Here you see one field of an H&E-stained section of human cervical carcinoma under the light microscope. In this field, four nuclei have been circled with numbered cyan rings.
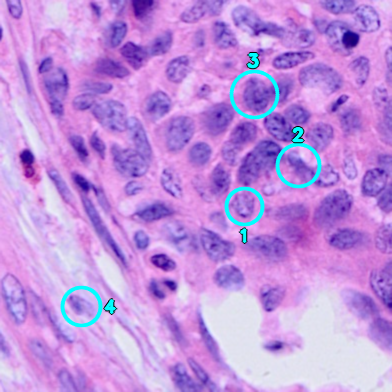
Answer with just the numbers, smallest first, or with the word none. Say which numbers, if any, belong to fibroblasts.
4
